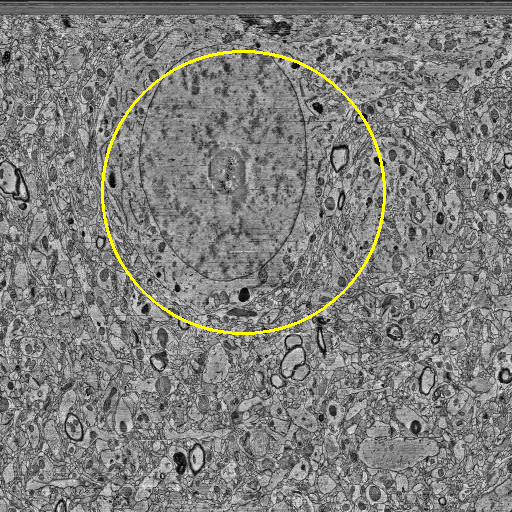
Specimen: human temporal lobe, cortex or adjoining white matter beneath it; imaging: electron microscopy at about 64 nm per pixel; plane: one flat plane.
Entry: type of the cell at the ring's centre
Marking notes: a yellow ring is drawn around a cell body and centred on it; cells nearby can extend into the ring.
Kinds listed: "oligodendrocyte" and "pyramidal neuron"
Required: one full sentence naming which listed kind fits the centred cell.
My entry names a pyramidal neuron as the cell whose body the yellow ring centres on.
